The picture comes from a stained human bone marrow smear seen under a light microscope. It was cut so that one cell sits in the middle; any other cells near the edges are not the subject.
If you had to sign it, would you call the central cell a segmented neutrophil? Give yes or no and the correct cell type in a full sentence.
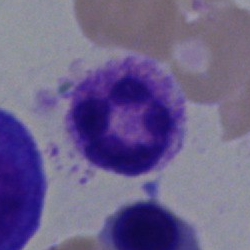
Yes, the cell at the centre of this crop is identified as a segmented neutrophil.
